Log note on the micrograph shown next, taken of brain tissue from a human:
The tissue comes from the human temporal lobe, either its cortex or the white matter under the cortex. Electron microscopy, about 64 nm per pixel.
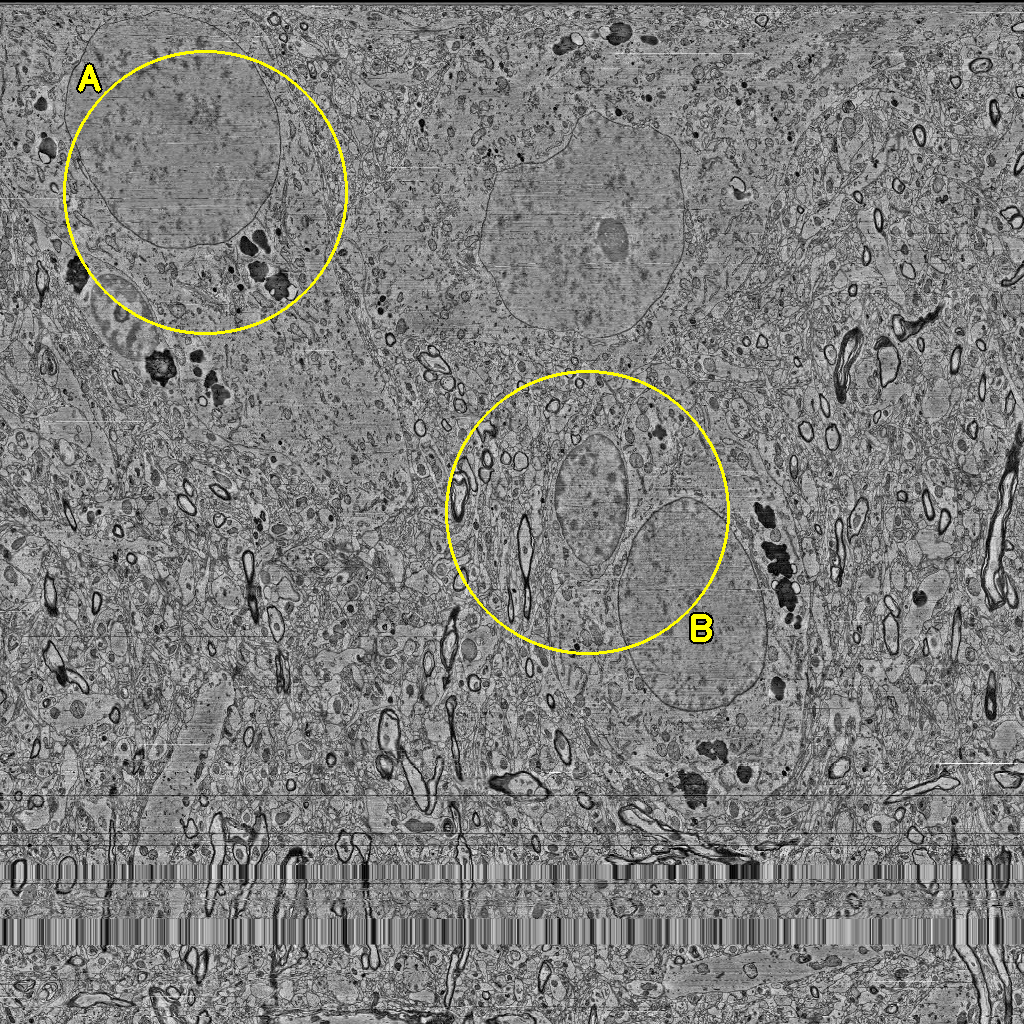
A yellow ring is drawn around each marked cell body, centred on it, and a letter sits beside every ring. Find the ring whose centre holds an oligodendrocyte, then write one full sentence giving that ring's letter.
In the picture, the cell asked for sits at the centre of ring B.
